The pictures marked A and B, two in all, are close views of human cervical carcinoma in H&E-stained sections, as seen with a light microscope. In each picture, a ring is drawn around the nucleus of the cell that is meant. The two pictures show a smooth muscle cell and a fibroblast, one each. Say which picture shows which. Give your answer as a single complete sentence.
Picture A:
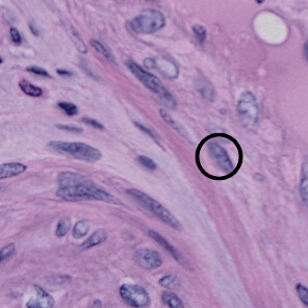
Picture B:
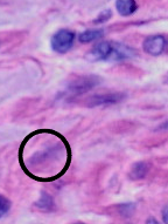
In picture A the cell is a smooth muscle cell; in picture B, a fibroblast.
